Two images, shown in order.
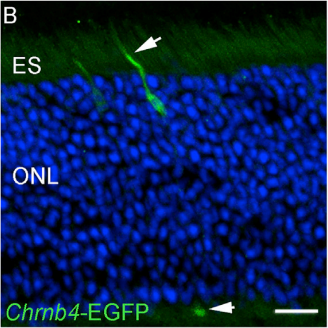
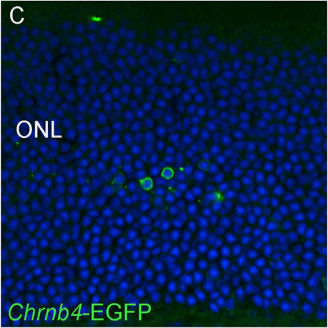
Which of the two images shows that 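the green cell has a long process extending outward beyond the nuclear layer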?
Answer: the first image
